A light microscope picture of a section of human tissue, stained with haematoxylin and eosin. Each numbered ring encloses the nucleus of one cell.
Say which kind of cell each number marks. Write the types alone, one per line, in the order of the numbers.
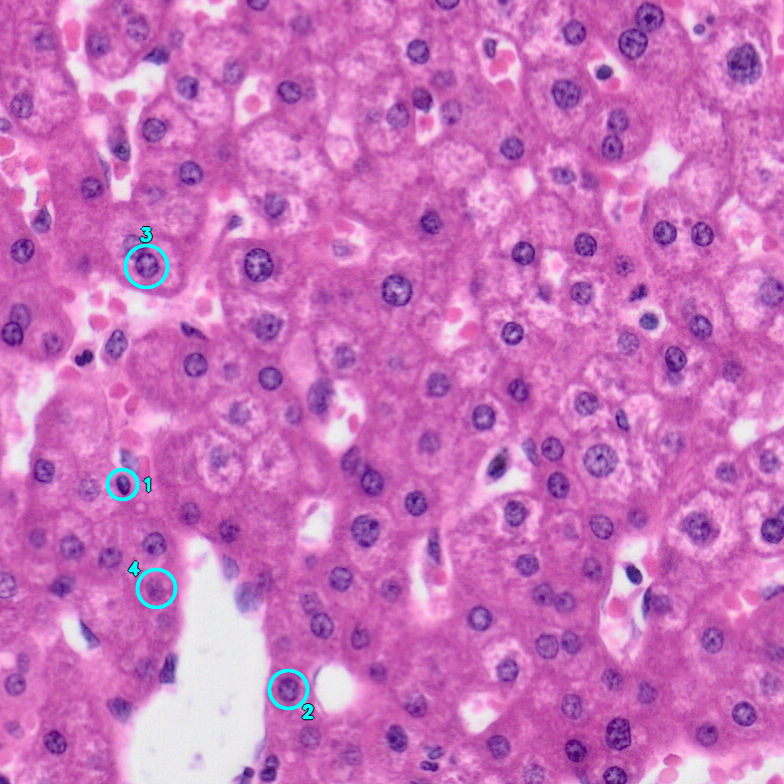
fibroblast or stellate cell
hepatocyte
hepatocyte
hepatocyte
